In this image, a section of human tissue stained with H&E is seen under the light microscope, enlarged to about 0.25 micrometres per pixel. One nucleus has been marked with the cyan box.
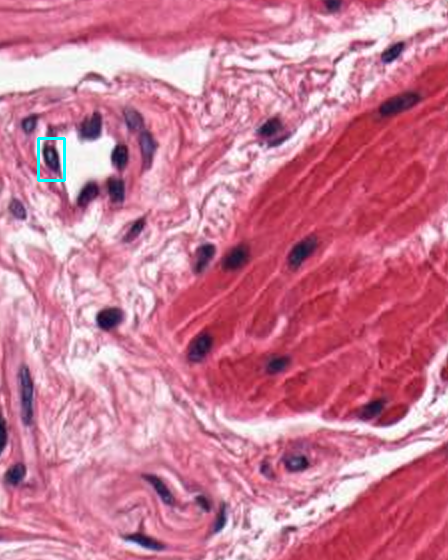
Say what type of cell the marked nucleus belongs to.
endothelial cell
